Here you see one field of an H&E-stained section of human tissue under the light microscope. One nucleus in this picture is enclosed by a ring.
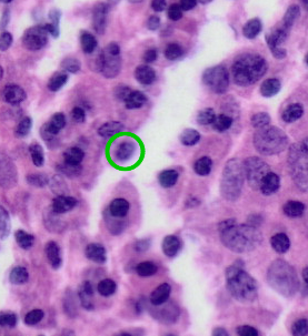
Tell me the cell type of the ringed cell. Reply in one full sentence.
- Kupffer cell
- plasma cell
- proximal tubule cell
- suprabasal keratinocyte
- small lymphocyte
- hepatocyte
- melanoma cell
In this field of tissue, the ringed cell is a plasma cell.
